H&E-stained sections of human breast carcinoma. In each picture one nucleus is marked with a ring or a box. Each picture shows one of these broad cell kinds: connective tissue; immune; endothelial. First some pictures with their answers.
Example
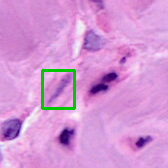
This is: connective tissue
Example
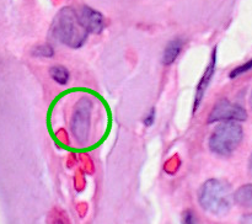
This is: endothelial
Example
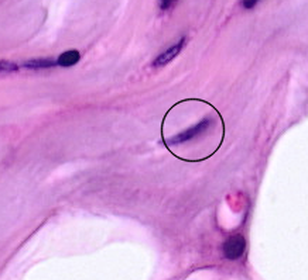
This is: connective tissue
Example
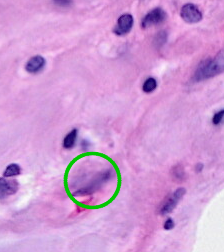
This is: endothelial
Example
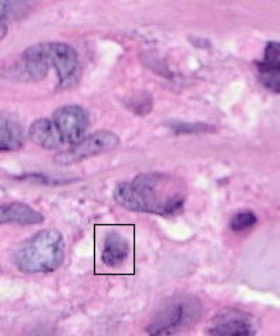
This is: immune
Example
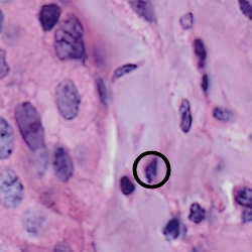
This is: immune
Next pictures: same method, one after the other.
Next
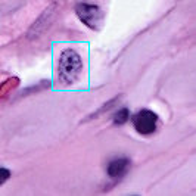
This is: immune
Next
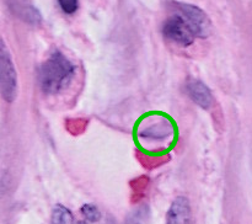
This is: endothelial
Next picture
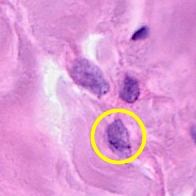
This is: connective tissue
